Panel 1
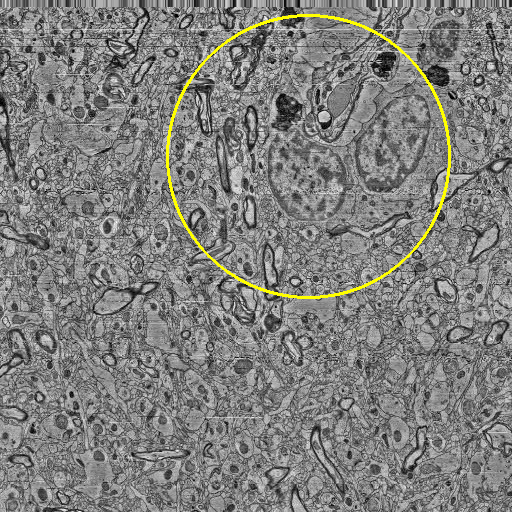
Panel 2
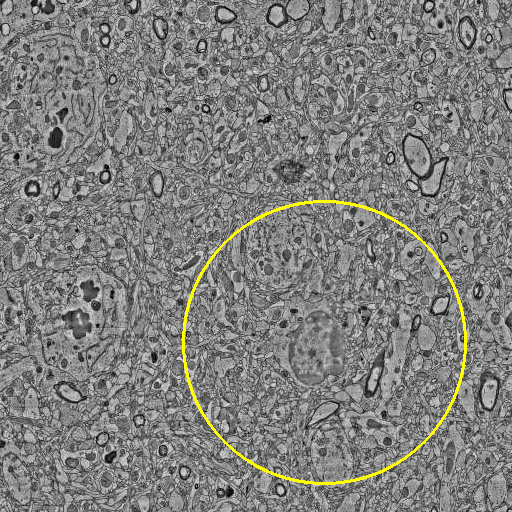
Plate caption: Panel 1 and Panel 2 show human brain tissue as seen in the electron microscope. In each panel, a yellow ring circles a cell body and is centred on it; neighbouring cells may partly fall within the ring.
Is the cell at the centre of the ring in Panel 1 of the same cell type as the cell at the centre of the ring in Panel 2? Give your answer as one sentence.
Yes, the two cells are of the same type.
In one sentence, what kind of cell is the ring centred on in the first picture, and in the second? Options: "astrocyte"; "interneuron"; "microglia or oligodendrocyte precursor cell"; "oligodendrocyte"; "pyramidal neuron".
Each of the two rings is centred on an oligodendrocyte.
